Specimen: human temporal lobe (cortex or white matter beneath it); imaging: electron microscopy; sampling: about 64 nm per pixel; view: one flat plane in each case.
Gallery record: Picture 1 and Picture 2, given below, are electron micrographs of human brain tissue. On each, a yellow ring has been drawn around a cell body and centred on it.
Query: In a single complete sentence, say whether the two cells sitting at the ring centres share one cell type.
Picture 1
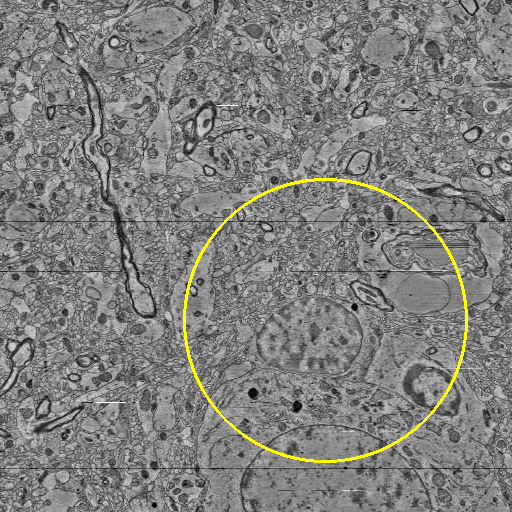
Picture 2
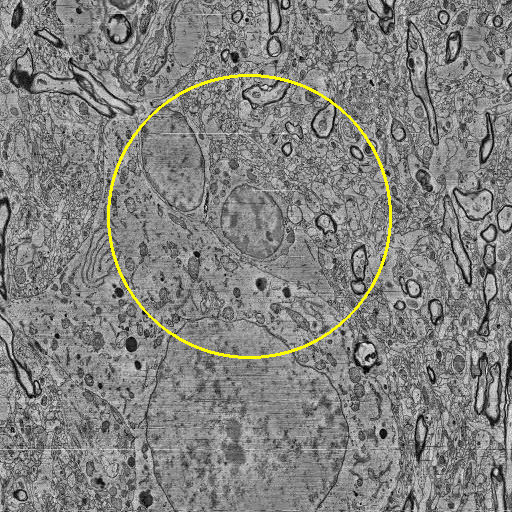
Yes, in both pictures the cell at the ring's centre is of one and the same type.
